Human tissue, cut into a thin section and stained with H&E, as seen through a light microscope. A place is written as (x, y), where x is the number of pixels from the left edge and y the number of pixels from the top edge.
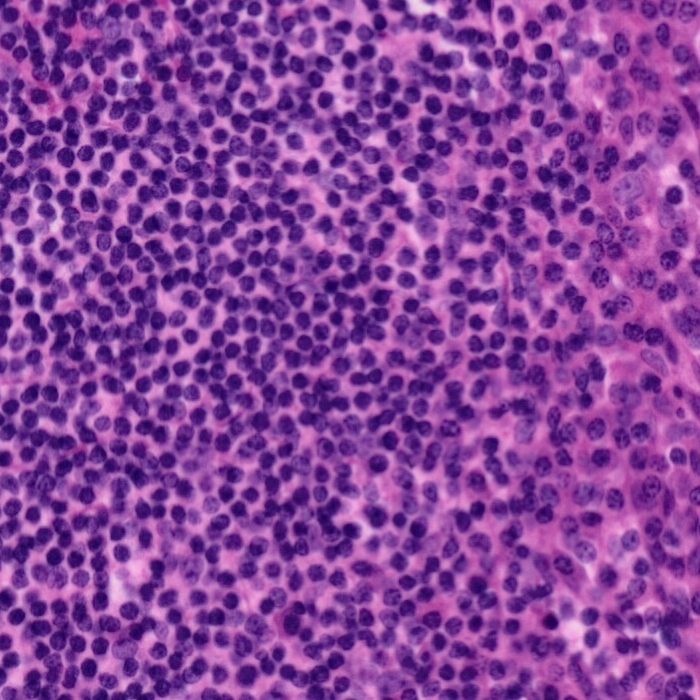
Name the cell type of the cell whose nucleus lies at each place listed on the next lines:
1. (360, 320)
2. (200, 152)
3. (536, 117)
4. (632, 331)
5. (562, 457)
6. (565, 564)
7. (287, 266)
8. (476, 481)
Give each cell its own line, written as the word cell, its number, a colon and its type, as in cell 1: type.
cell 1: small lymphocyte
cell 2: small lymphocyte
cell 3: small lymphocyte
cell 4: plasma cell
cell 5: plasma cell
cell 6: plasma cell
cell 7: small lymphocyte
cell 8: plasma cell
